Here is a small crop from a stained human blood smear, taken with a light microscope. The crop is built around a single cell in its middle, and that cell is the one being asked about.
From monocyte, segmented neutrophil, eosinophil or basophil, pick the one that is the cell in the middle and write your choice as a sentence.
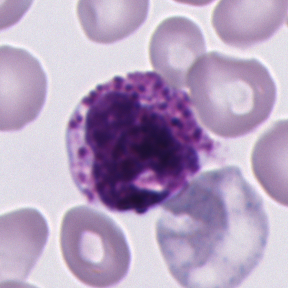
Regarding the central cell, it is a basophil.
